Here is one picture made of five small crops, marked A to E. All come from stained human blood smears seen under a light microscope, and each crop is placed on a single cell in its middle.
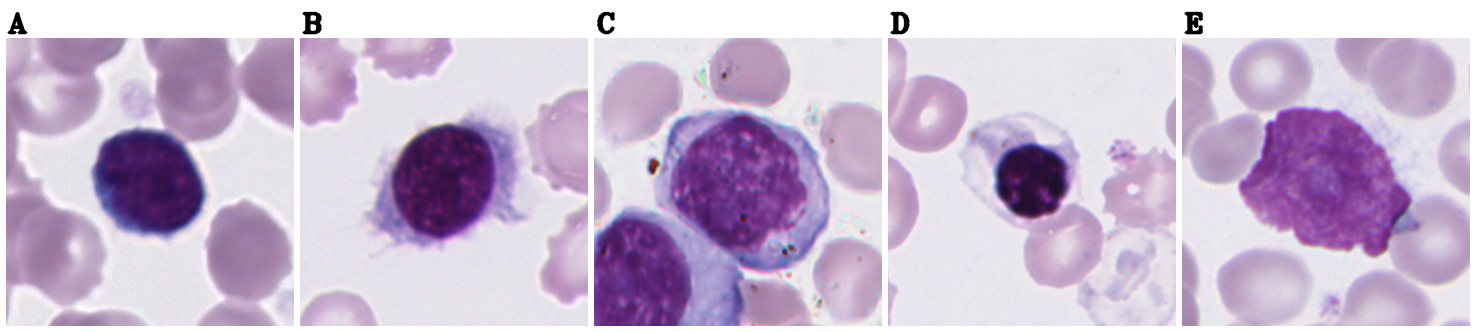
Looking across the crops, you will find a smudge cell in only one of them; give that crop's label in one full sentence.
Among all the crops given here, the one with a smudge cell is crop E.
